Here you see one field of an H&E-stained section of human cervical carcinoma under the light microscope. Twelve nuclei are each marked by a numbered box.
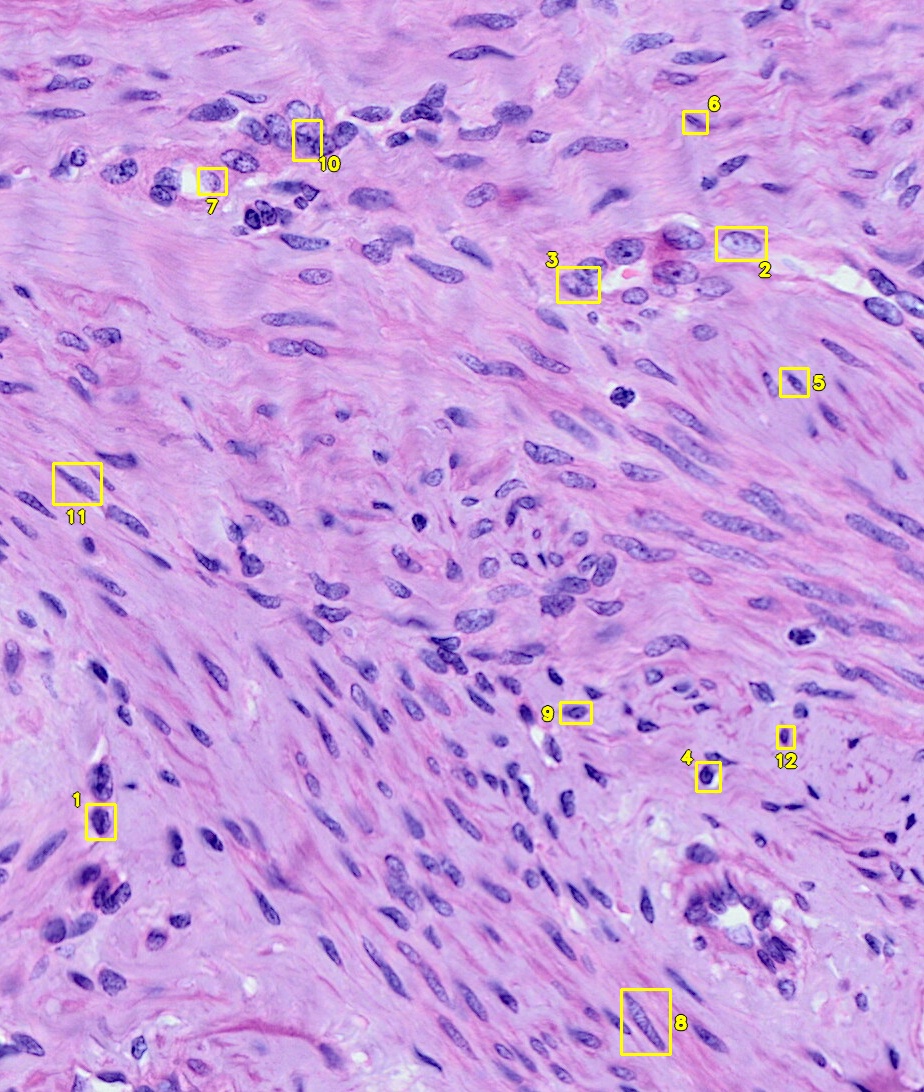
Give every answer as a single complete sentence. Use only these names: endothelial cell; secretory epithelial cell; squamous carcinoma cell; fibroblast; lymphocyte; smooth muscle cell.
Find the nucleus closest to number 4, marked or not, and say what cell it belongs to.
Number 4 lies closest to the nucleus of a fibroblast.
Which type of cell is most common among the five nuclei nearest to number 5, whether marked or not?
The majority of the five nuclei closest to number 5 belong to smooth muscle cells.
